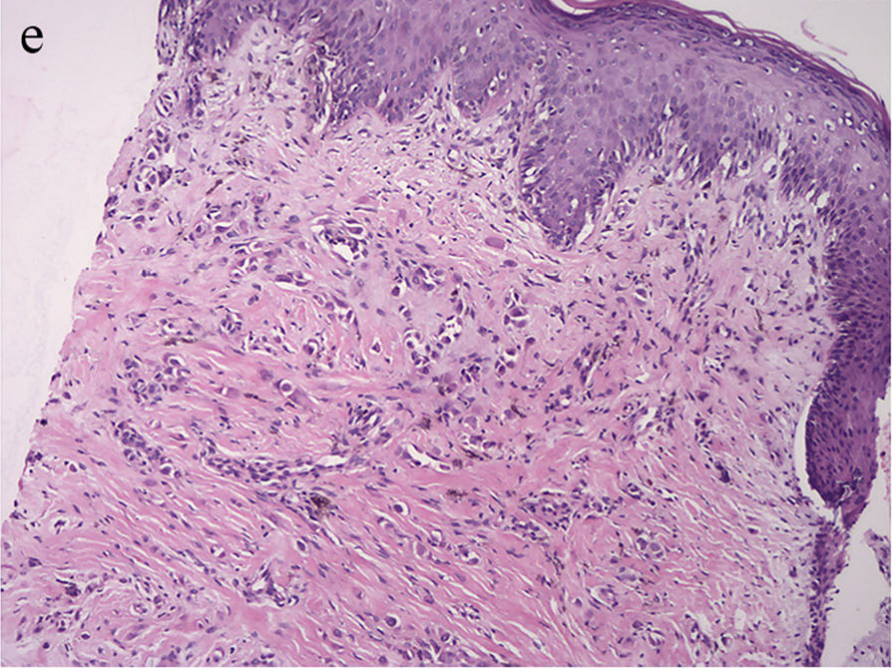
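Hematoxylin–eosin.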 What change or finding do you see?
Epidermal thickness.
